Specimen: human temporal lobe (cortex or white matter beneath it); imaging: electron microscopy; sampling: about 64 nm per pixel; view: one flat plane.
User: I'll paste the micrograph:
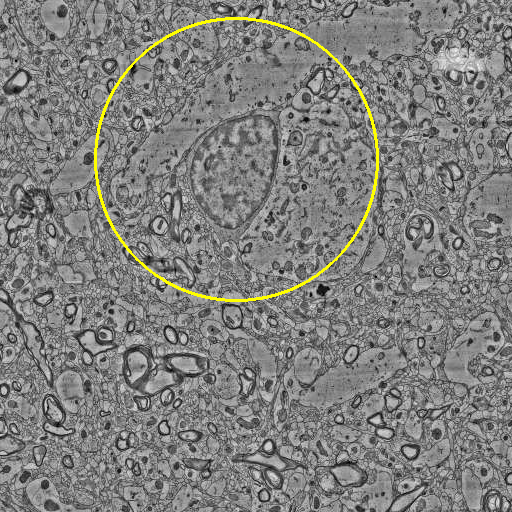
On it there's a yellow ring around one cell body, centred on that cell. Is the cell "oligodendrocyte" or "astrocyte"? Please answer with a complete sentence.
The cell ringed in yellow is an oligodendrocyte.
